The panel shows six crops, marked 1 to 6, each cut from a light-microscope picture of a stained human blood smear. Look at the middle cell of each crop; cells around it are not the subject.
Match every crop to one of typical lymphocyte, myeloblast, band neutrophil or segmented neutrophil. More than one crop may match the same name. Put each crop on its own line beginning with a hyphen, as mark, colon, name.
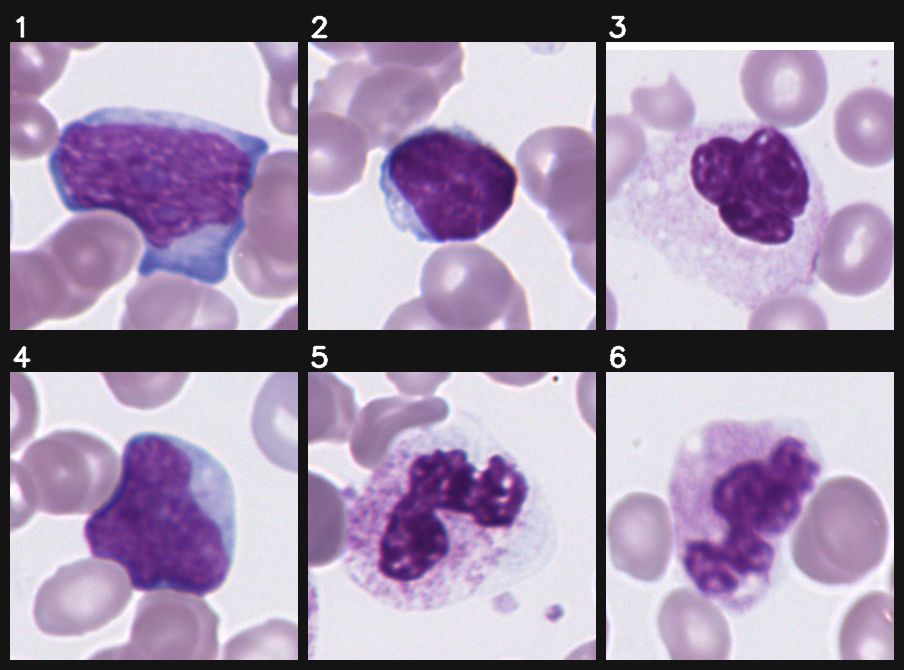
- 1: myeloblast
- 2: typical lymphocyte
- 3: segmented neutrophil
- 4: myeloblast
- 5: band neutrophil
- 6: segmented neutrophil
